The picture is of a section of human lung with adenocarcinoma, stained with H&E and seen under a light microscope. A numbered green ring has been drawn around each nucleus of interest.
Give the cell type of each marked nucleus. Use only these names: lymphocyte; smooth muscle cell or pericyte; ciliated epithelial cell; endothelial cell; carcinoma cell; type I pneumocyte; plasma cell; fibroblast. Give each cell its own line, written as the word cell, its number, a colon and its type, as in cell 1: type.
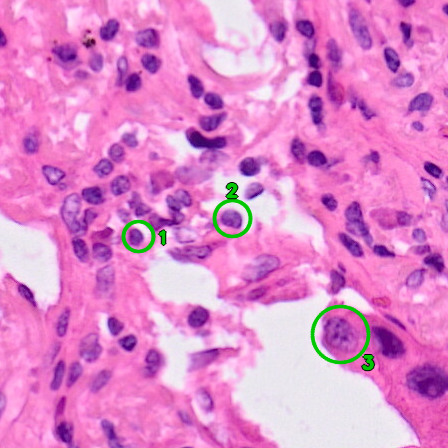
cell 1: lymphocyte
cell 2: lymphocyte
cell 3: carcinoma cell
